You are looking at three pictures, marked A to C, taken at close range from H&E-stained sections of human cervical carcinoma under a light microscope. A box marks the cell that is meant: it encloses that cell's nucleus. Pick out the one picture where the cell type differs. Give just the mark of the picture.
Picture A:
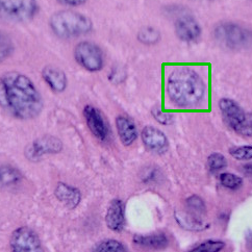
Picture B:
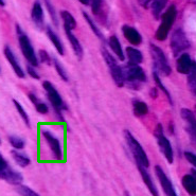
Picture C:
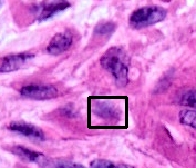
A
